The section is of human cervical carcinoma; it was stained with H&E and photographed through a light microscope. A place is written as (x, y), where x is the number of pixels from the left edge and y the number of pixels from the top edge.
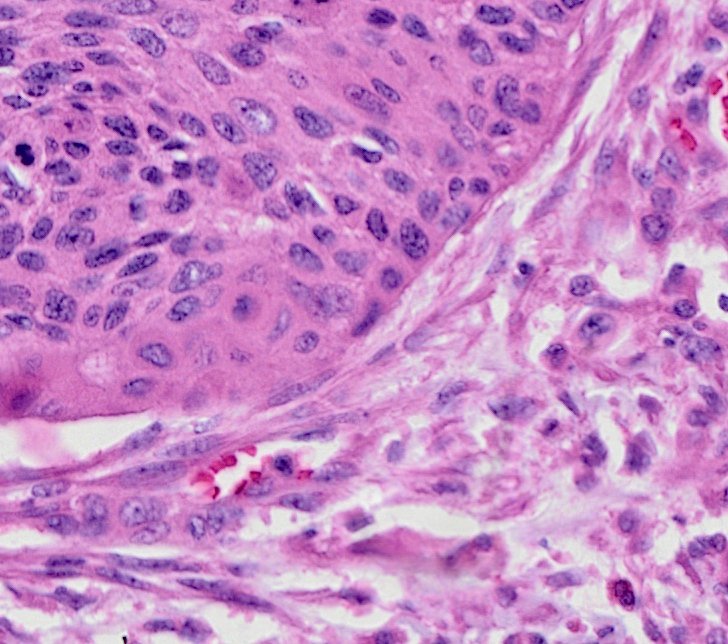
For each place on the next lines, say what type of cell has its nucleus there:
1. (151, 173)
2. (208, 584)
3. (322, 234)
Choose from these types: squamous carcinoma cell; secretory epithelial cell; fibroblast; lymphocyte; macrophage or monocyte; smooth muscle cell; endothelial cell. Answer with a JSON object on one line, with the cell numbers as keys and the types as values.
{"1": "squamous carcinoma cell", "2": "fibroblast", "3": "squamous carcinoma cell"}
